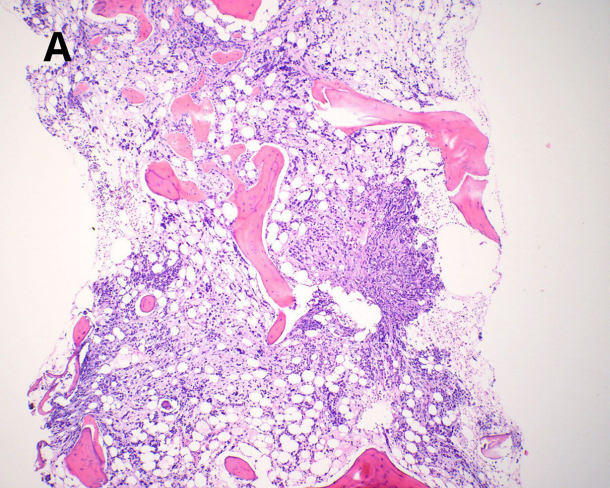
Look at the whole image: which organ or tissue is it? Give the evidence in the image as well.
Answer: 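Many round empty fat spaces between the trabeculae.
Bone marrow core biopsy.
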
